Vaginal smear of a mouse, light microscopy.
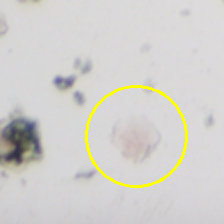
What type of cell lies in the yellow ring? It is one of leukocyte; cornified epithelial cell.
The ringed cell is a cornified epithelial cell.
